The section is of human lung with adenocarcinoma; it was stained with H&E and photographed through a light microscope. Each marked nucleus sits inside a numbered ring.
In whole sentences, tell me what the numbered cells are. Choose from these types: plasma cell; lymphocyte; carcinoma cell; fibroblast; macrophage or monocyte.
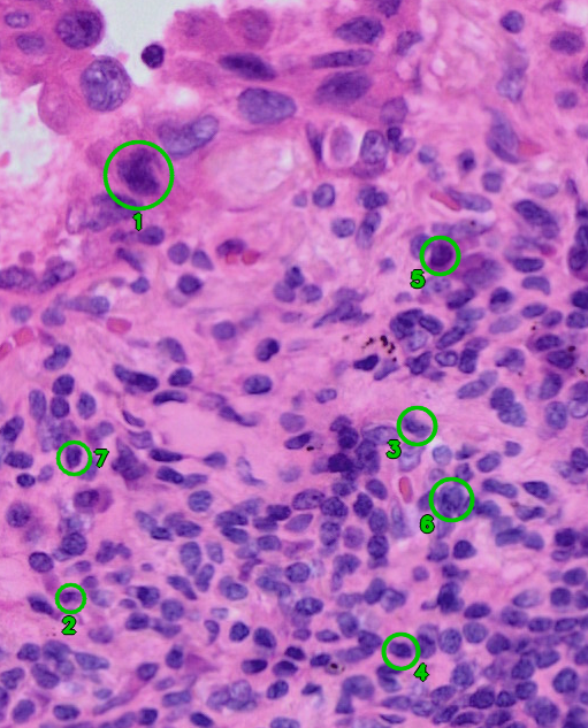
Cell 1 is a carcinoma cell. Cells 2 and 5 are plasma cells. Cells 3, 4, 6 and 7 are lymphocytes.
